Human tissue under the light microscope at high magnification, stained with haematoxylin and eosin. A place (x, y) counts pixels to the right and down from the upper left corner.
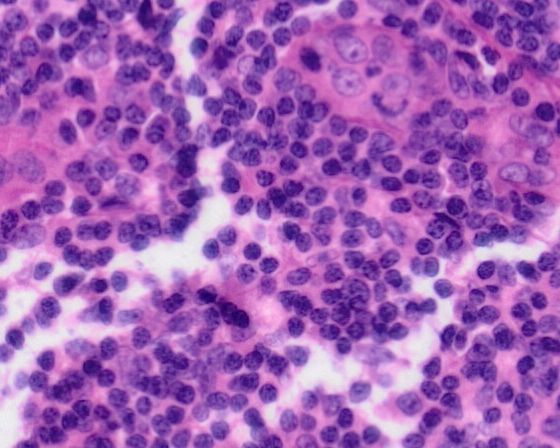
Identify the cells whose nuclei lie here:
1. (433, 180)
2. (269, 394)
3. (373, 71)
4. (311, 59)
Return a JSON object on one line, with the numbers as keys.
{"1": "plasma cell", "2": "small lymphocyte", "3": "endothelial cell", "4": "endothelial cell"}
